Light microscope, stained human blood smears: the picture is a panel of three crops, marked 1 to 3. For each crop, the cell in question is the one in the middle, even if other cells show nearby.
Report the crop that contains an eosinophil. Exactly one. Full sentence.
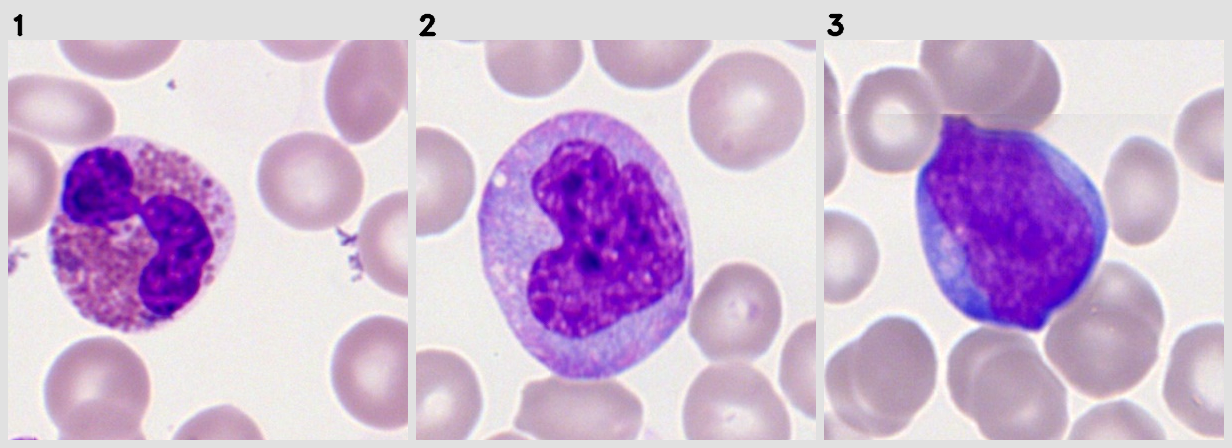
The sole crop showing an eosinophil is crop 1.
